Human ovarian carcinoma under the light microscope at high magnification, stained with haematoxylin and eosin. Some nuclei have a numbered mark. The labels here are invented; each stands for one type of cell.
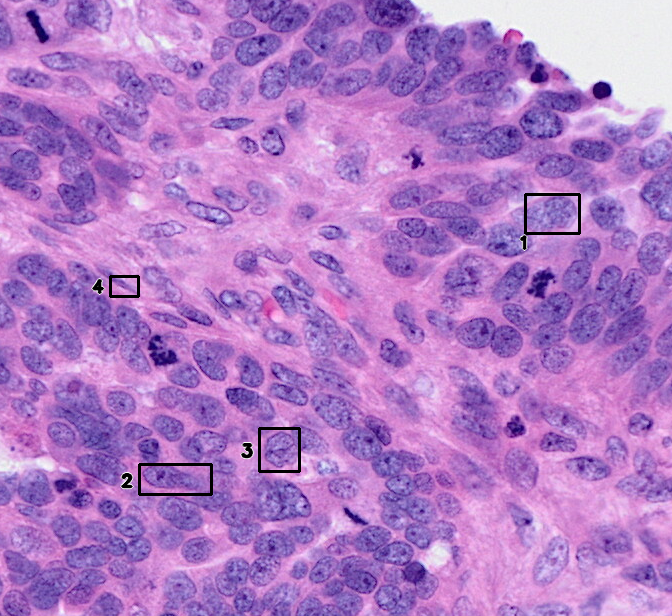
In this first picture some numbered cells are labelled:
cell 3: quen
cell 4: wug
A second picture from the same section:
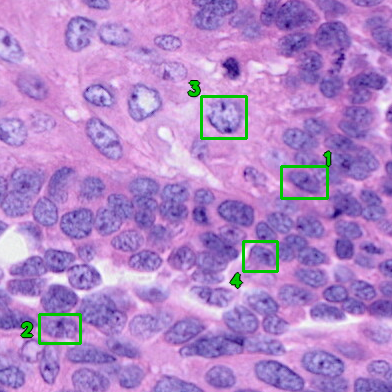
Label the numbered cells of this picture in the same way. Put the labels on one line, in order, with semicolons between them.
quen; quen; wug; quen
